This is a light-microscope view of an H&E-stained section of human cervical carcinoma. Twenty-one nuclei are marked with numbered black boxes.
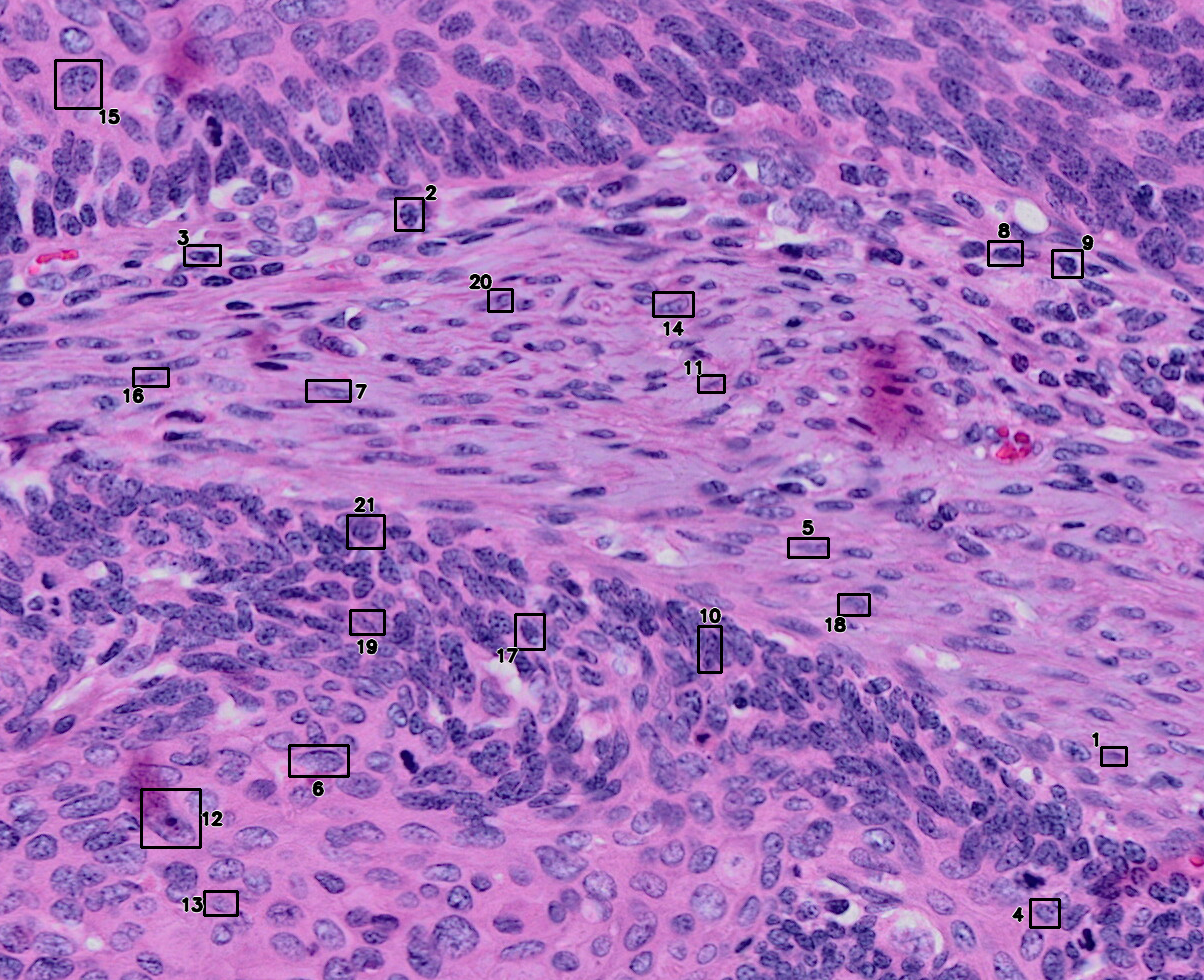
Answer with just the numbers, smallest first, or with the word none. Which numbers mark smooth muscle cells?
1, 5, 7, 11, 14, 16, 18, 20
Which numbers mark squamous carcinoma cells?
4, 6, 10, 12, 13, 15, 17, 19, 21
